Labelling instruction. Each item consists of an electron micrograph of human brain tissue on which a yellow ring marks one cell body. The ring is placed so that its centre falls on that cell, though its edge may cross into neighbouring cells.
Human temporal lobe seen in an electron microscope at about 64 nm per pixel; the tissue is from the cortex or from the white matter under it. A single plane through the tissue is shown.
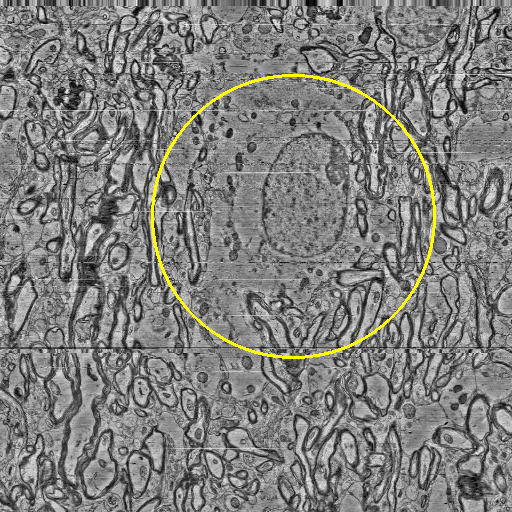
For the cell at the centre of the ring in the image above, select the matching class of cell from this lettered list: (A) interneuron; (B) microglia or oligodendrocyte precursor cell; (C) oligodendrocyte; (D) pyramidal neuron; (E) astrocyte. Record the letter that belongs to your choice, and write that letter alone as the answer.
E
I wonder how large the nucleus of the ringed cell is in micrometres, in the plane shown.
In this plane the nucleus measures about 8 by 5 micrometres and is clearly longer than it is wide.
